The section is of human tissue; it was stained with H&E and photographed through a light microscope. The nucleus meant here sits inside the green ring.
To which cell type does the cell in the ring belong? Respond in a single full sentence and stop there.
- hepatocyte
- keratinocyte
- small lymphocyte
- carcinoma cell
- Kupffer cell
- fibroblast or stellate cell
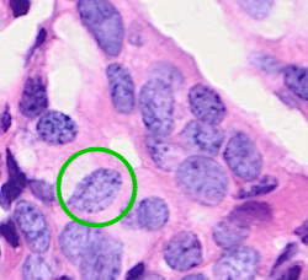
In this tissue section, the cell in the ring is to be classed as a carcinoma cell.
